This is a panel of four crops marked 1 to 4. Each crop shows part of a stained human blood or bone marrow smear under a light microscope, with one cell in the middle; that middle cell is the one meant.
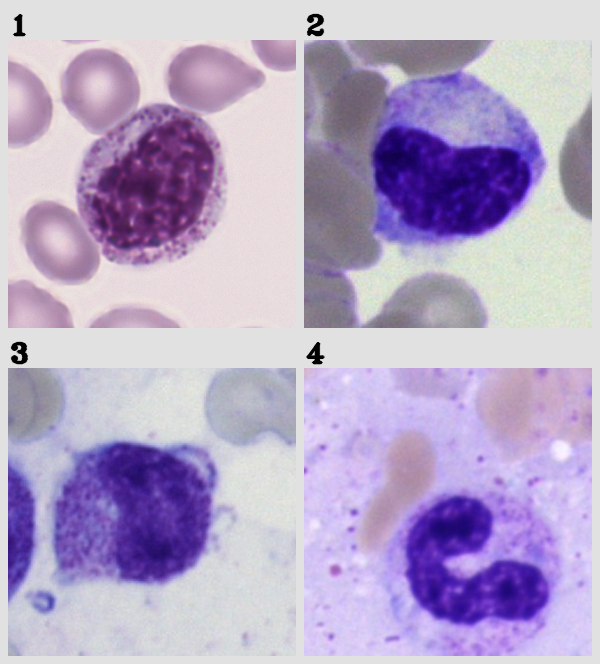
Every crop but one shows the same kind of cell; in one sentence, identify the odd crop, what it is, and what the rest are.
Shown in crop 4 is a band neutrophil, in contrast to the metamyelocytes of all the other crops.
